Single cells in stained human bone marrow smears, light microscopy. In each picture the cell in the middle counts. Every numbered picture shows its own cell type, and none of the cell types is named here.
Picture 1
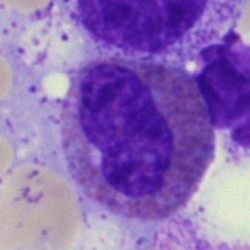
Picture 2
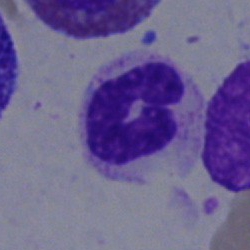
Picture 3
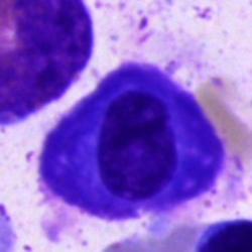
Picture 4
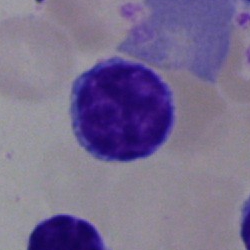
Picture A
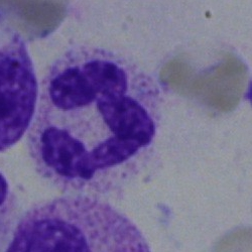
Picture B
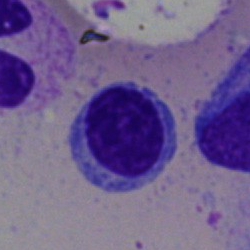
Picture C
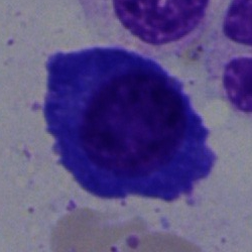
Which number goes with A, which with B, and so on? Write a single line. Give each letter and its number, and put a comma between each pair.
A 2, B 4, C 3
